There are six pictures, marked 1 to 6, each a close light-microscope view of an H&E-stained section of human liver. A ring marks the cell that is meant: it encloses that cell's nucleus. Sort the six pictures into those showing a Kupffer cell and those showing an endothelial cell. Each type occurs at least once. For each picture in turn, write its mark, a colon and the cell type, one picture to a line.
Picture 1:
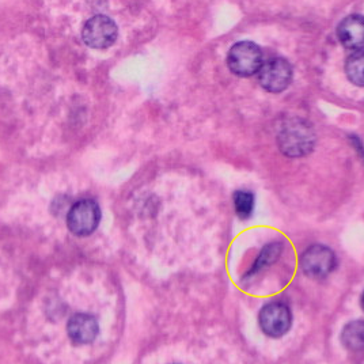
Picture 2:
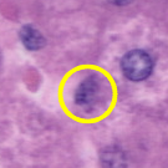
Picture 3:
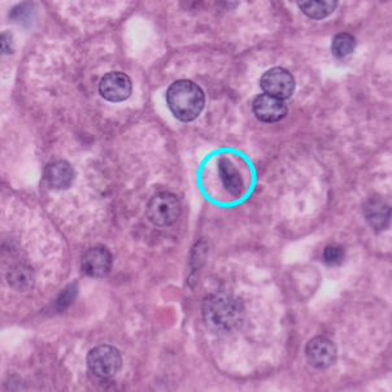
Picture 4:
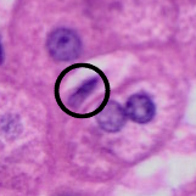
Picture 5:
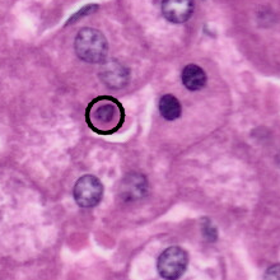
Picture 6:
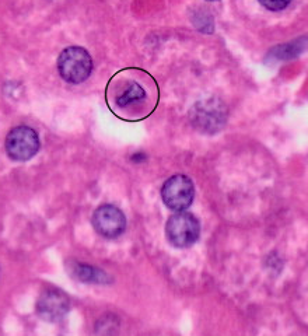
1: Kupffer cell
2: endothelial cell
3: endothelial cell
4: Kupffer cell
5: Kupffer cell
6: Kupffer cell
